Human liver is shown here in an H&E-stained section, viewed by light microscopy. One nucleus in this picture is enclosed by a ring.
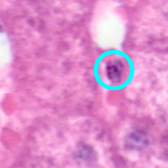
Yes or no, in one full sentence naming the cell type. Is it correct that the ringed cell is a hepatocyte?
No, the ringed cell is an endothelial cell and should not be read as a hepatocyte.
